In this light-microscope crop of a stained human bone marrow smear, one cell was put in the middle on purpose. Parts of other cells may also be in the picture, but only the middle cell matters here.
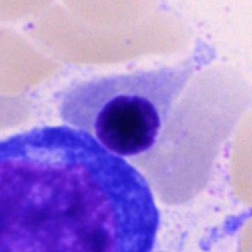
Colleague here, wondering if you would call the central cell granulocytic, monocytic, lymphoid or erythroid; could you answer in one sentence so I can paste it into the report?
Our central cell here is part of the erythroid lineage.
